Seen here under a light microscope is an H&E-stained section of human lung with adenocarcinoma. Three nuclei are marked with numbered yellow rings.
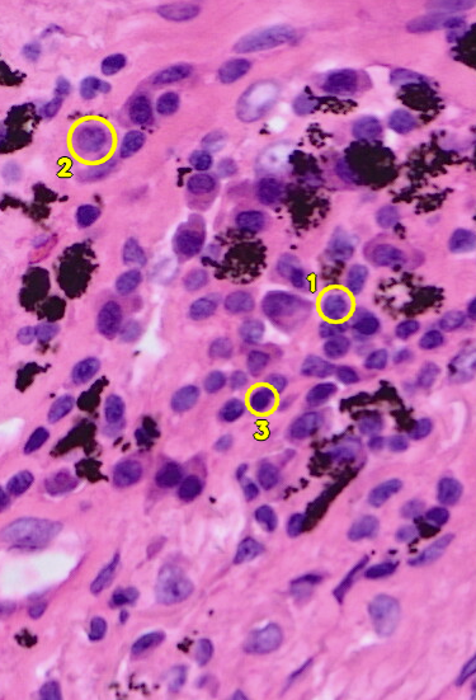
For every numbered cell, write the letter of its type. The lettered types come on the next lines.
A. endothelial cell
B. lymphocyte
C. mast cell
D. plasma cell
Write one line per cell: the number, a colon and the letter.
1: B
2: D
3: B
